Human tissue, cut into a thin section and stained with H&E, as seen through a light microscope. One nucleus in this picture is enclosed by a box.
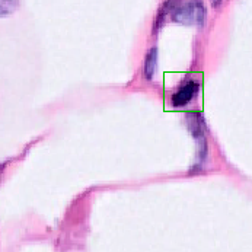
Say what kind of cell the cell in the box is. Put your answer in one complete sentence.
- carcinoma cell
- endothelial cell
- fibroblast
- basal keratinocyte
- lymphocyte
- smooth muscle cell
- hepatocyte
The cell meant here is an endothelial cell.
